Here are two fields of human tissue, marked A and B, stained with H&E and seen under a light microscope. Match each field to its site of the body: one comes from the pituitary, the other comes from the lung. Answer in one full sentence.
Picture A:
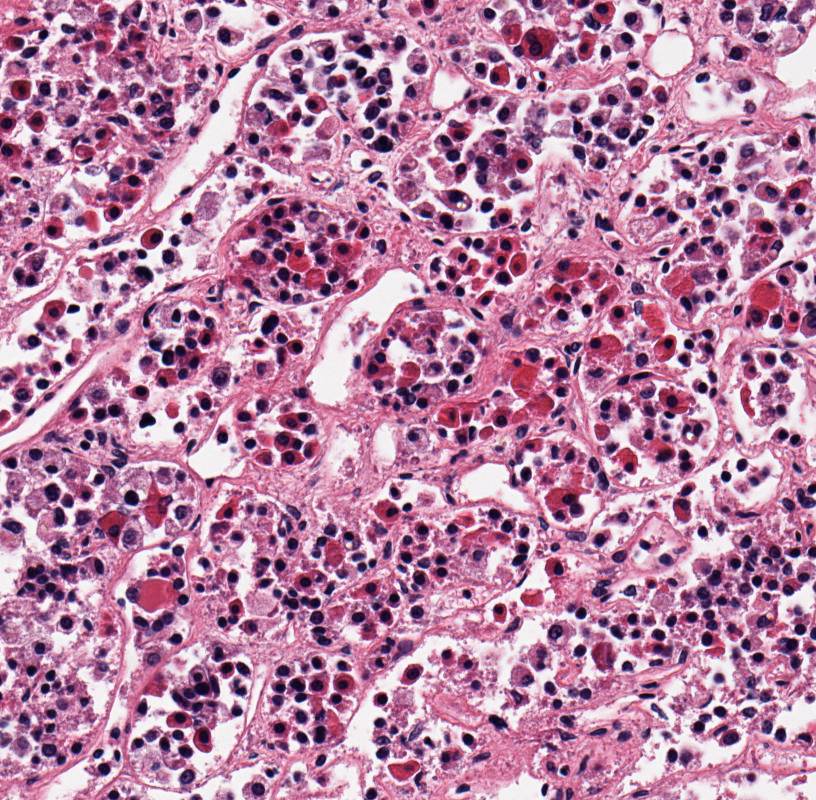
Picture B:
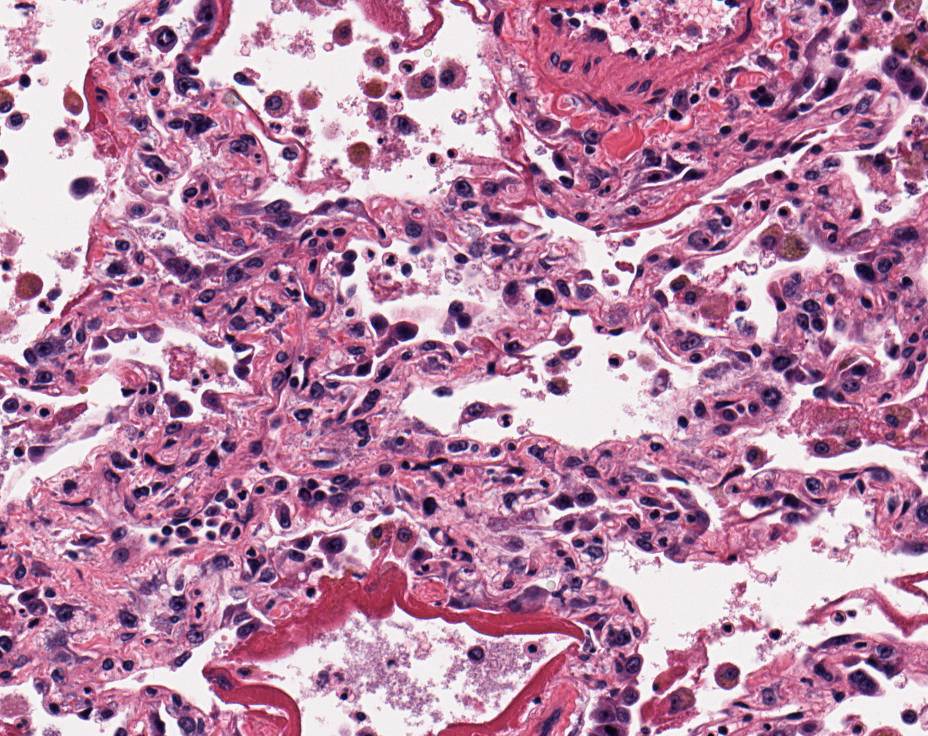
Picture A comes from the pituitary; picture B comes from the lung.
